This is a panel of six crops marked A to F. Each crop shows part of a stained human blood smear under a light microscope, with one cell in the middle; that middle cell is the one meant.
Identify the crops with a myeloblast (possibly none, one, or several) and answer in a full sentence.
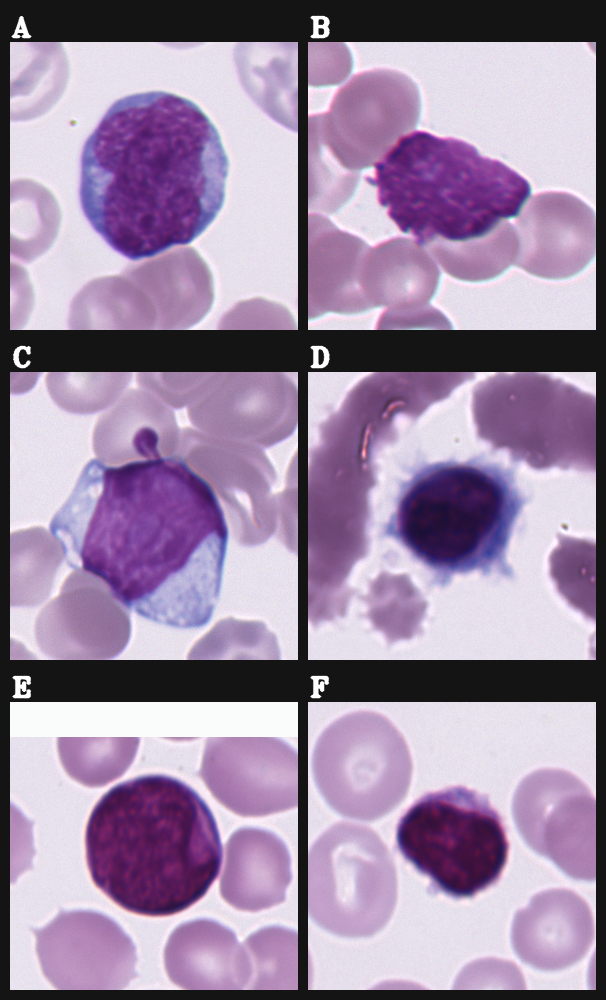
The central cells are myeloblasts in crops C and E.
